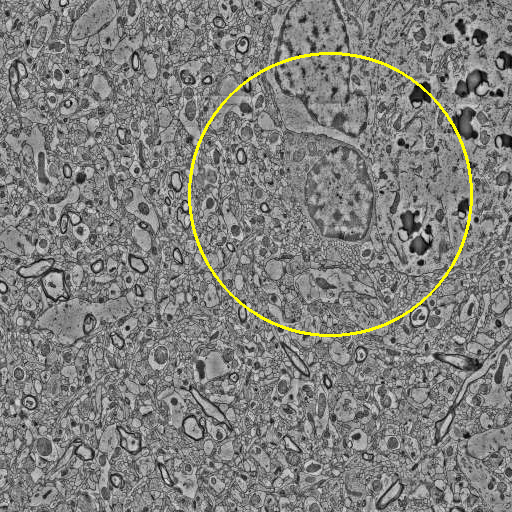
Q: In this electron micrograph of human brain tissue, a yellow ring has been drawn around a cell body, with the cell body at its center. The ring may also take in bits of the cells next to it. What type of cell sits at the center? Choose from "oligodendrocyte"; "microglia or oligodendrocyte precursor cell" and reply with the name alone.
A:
oligodendrocyte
